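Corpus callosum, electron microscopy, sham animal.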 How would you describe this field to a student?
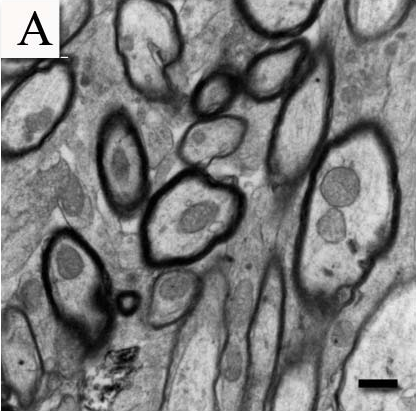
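This electron micrograph shows white matter with numerous myelinated axons cut in cross and oblique section. Each axon is surrounded by a compact, uniformly dark ring of myelin that lies closely against the axon. The axon interiors are pale grey with a fine fibrillar texture, and several contain round to oval mitochondria. Between the myelinated axons lie smaller, paler profiles and glial processes. No splitting of the myelin or swelling of the axons is seen.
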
